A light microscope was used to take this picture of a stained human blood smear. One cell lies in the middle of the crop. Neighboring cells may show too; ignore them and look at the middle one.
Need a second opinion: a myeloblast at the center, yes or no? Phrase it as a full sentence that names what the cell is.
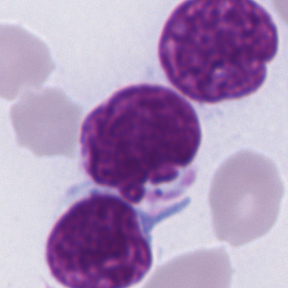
Yes, the cell sitting in the center is a myeloblast.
